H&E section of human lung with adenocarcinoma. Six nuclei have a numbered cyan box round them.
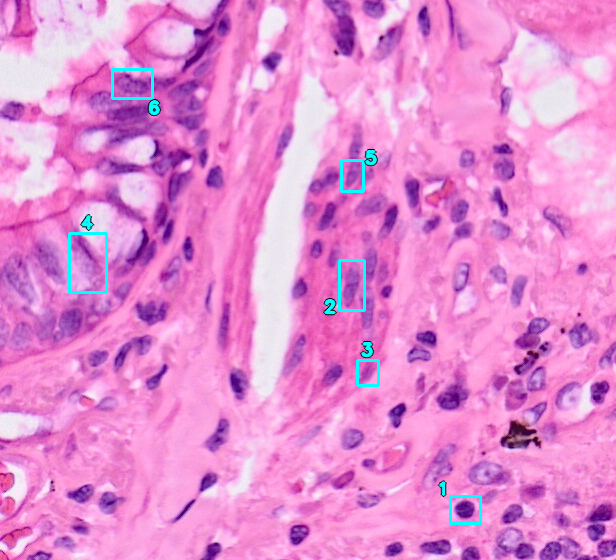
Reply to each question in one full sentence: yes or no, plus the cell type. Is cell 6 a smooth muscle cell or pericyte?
No, it is a ciliated epithelial cell, not a smooth muscle cell or pericyte, at number 6.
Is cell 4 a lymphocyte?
No, the cell carrying number 4 is a ciliated epithelial cell, not a lymphocyte.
